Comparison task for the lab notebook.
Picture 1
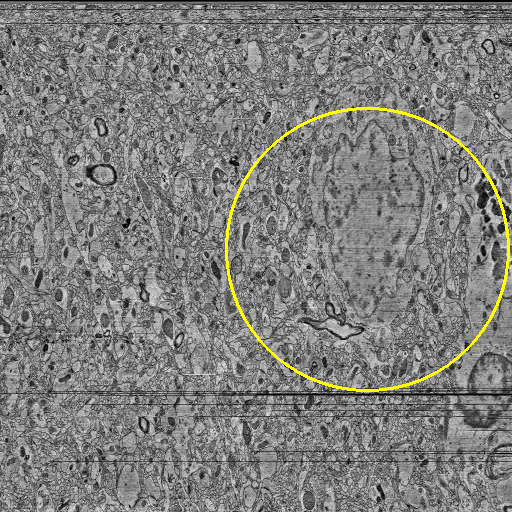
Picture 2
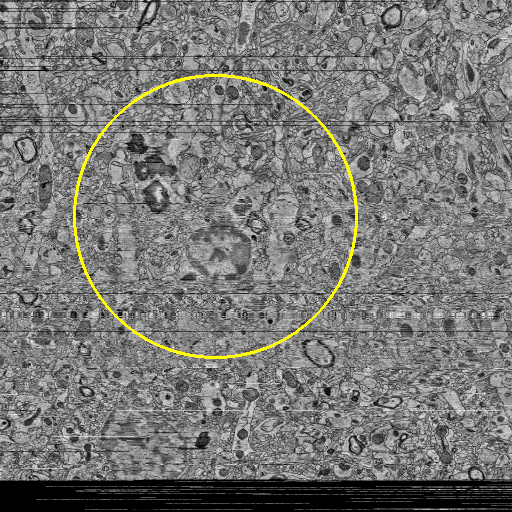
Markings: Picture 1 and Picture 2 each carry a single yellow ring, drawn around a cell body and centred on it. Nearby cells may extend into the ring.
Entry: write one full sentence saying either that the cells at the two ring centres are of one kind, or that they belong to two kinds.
The cells sitting at the ring centres in Picture 1 and Picture 2 belong to two kinds.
